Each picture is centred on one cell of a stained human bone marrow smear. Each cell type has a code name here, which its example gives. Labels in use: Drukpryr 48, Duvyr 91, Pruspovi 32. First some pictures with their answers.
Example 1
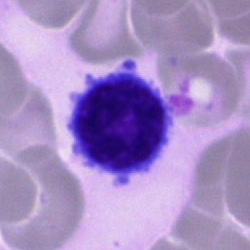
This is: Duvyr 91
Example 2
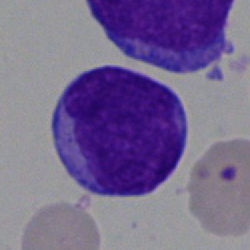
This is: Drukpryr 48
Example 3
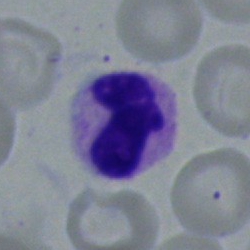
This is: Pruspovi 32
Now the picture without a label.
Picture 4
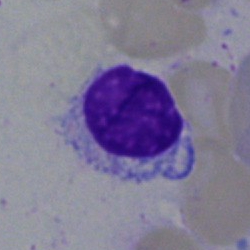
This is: Duvyr 91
